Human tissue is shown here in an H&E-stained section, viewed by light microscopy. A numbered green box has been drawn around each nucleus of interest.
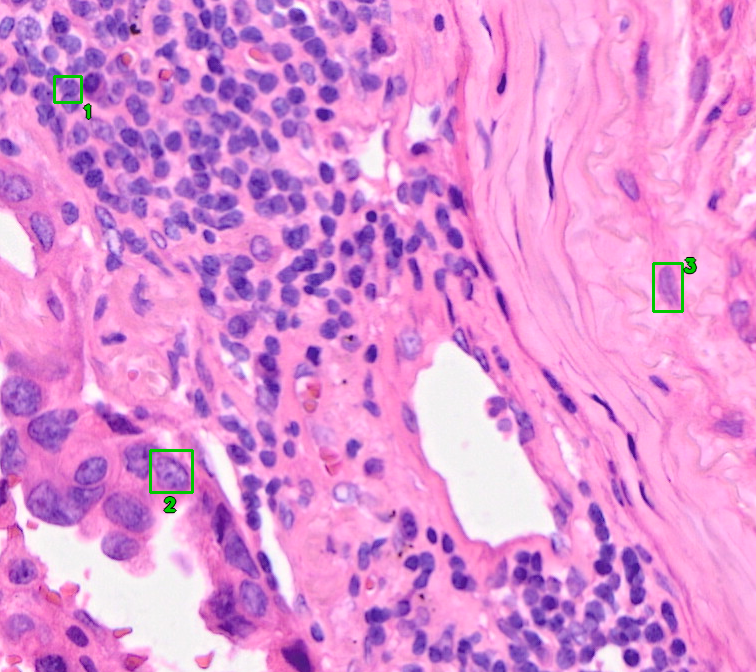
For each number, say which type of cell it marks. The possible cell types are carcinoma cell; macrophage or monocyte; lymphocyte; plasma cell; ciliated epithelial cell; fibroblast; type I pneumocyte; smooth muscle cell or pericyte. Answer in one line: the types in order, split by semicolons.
lymphocyte; carcinoma cell; smooth muscle cell or pericyte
